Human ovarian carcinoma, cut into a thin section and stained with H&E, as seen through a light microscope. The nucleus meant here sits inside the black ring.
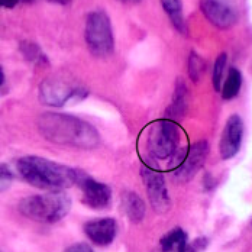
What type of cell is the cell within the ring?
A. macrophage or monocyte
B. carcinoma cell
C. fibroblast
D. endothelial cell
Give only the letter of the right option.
D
